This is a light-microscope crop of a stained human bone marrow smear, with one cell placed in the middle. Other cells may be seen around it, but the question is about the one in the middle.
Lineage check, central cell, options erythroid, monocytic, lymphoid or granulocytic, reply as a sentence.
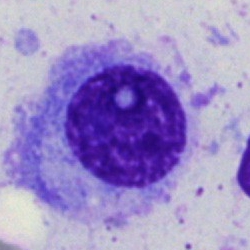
The cell in the middle of the frame falls under the lymphoid lineage.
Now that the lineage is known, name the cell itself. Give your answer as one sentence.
Centrally within this crop lies a plasma cell.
